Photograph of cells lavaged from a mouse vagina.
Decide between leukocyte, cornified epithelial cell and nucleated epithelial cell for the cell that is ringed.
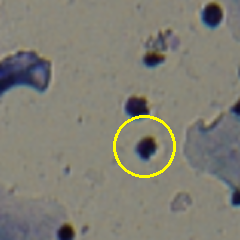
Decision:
I take the ringed cell for a leukocyte.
